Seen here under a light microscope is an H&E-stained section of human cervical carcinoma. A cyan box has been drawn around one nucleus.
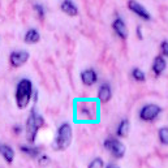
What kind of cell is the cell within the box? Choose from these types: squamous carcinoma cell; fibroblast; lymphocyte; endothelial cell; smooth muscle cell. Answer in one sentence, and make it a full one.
In the tissue at hand, the cell within the box is a smooth muscle cell.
